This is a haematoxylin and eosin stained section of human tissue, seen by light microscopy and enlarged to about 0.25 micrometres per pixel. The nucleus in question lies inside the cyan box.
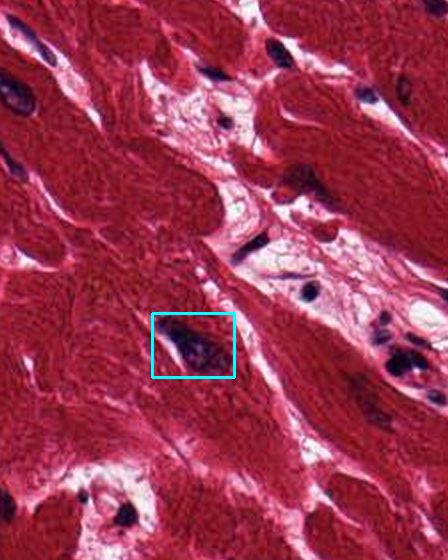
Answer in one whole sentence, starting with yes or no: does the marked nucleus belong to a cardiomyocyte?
Yes, the cell containing the marked nucleus is a cardiomyocyte.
